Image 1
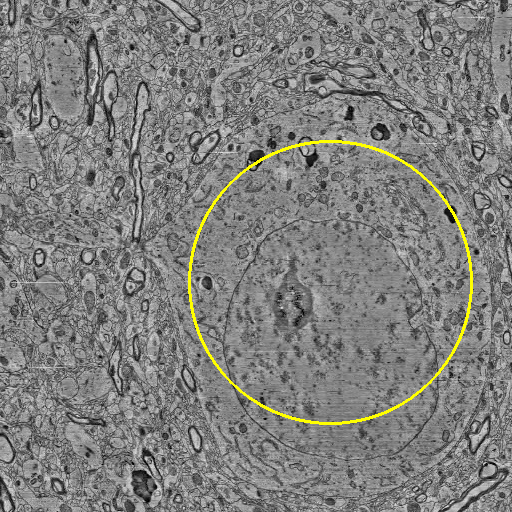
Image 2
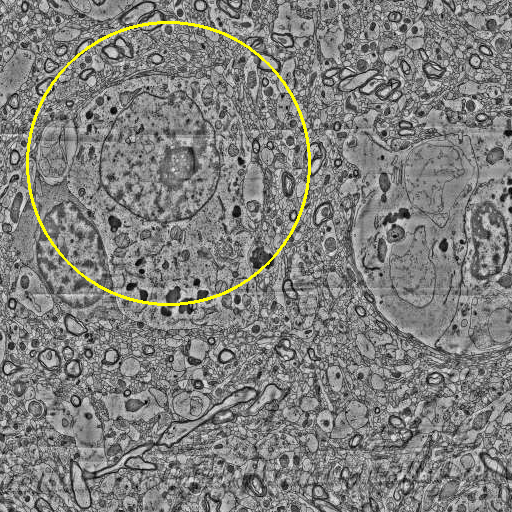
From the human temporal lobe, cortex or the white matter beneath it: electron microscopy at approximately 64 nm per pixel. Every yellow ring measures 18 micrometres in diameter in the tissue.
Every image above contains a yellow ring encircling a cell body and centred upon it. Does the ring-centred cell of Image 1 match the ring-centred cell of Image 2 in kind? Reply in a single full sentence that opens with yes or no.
Yes, the cell at the ring's centre in Image 1 is the same kind as that in Image 2.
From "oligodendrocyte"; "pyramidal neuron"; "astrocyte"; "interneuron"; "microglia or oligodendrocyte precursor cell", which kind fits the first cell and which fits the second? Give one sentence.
Each cell, in the first picture and the second, is a pyramidal neuron.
